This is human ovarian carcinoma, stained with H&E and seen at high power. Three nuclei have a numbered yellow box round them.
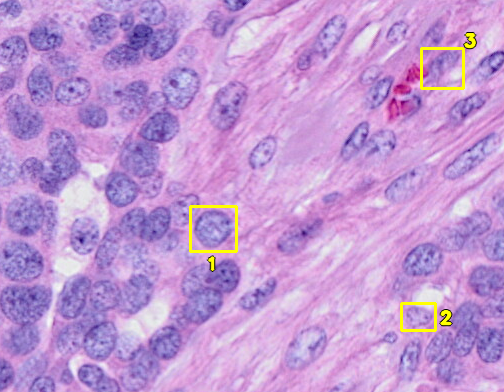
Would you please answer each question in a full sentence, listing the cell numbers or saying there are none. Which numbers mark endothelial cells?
There is just one numbered cell that is an endothelial cell, and it is cell 3.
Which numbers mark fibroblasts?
Across all the numbered cells, only number 2 is a fibroblast.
